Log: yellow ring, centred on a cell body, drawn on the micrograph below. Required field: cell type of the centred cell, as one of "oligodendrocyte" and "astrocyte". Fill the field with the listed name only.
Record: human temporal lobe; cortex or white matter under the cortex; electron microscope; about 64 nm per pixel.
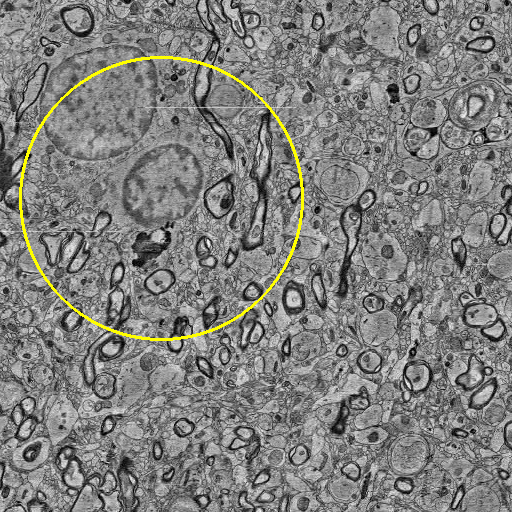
oligodendrocyte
